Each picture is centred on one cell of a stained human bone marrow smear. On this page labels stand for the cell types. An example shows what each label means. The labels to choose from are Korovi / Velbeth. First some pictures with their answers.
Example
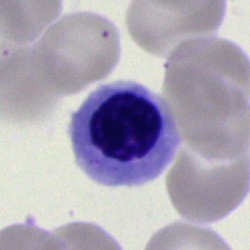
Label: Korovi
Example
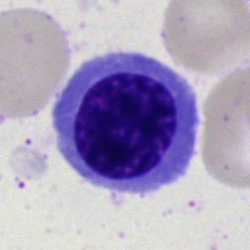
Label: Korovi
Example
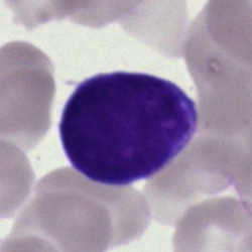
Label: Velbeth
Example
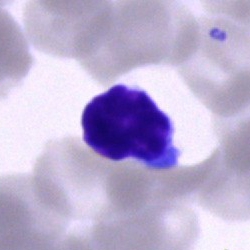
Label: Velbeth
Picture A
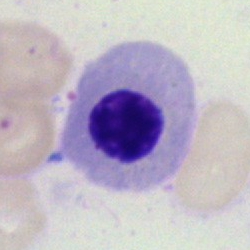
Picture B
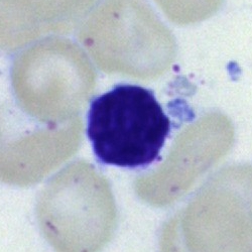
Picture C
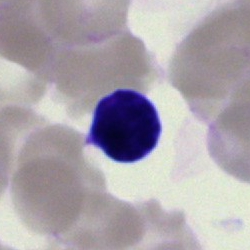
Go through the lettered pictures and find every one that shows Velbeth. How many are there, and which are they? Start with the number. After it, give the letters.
2: B, C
